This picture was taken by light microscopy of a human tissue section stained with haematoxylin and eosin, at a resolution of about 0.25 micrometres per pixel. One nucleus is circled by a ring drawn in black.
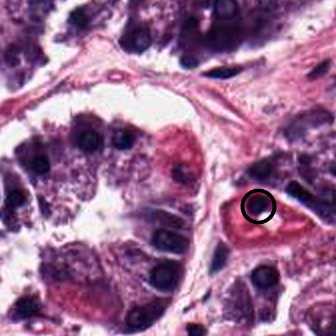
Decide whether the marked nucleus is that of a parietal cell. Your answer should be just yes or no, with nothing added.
yes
